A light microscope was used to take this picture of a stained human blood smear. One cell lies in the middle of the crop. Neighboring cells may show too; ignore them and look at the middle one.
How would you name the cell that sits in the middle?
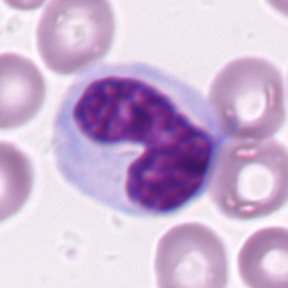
band neutrophil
